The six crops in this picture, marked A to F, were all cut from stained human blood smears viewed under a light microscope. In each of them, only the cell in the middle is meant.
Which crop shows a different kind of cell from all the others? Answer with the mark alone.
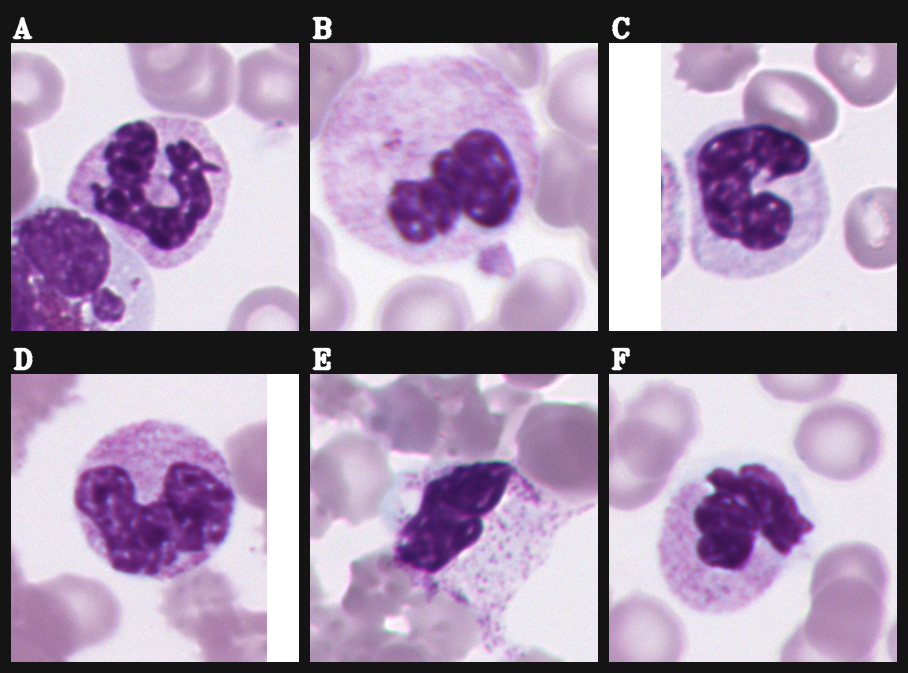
C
